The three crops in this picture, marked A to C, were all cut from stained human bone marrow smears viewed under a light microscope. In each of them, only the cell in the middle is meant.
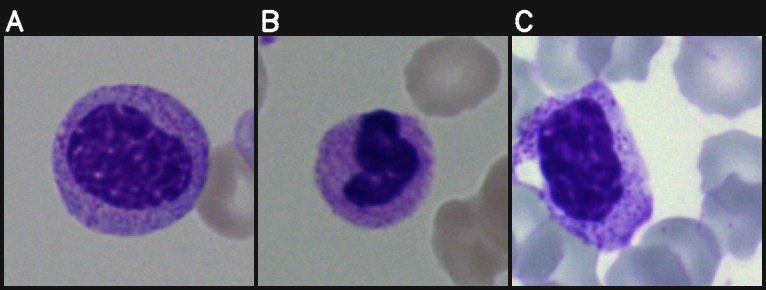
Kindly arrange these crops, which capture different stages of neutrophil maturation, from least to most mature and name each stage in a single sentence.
The least to most mature ordering of the crops is crop C (a myelocyte), crop A (a metamyelocyte) and crop B (a segmented neutrophil).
